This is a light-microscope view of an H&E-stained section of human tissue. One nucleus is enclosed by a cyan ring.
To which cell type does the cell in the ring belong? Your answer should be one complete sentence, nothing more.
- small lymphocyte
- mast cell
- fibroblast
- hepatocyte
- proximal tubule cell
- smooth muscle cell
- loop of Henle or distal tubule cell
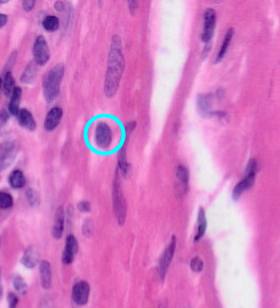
In cellular terms, the cell in the ring is a mast cell.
